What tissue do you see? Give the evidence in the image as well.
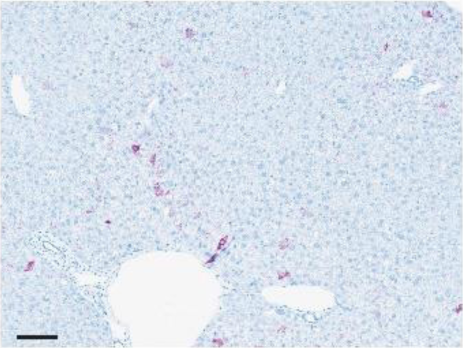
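Uniform parenchyma of closely packed polygonal cells with round nuclei. A large round vessel lumen and several smaller vessels sit within the parenchyma.
Liver.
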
